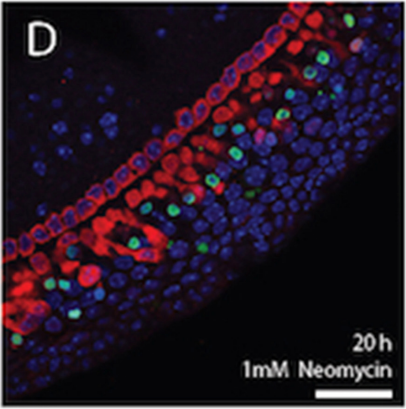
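This cochlear sensory epithelium shows red hair cells, with one row still forming a regular line of rounded cells along the edge. The other rows are disordered: the red cells are irregular, stretched and scattered, with gaps between them.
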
